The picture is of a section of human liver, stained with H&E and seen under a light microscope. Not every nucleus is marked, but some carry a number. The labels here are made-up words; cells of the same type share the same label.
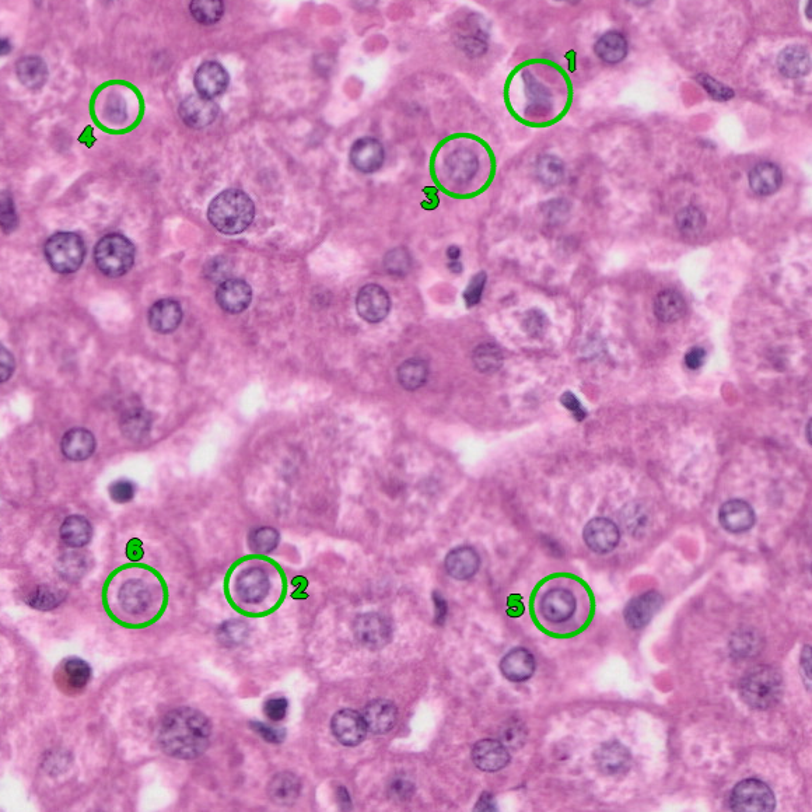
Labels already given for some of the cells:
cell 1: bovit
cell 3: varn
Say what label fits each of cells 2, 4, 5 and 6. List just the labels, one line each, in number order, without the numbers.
varn
bovit
varn
varn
